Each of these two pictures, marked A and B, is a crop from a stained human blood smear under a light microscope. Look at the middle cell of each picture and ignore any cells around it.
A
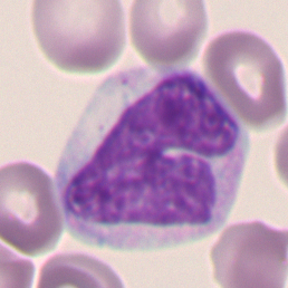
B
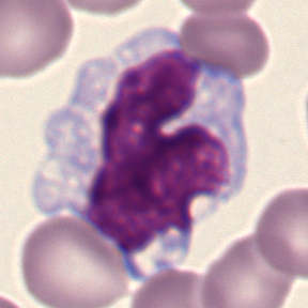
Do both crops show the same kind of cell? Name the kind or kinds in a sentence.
No, crop A shows a band neutrophil, and crop B, by contrast, shows a monocyte.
